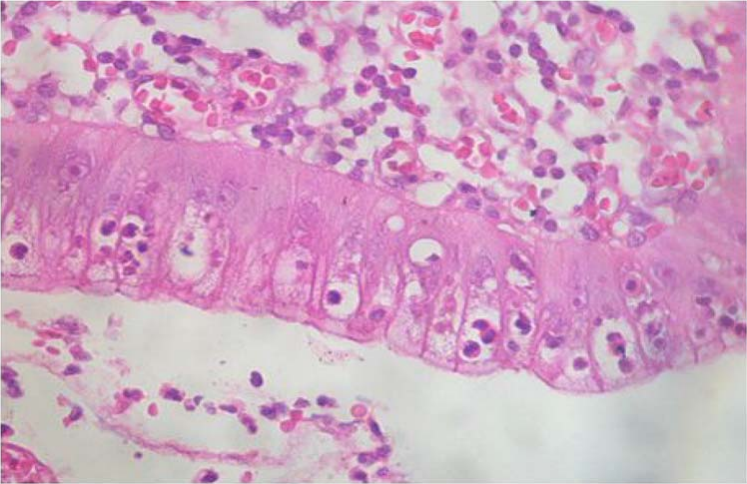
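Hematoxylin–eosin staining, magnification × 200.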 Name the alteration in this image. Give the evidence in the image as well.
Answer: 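Leukocytes are found within the thickness of the columnar epithelium rather than only in the stroma. The leukocytes lie in clear spaces between the epithelial cells. On this evidence: Intraepithelial exocytosis.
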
